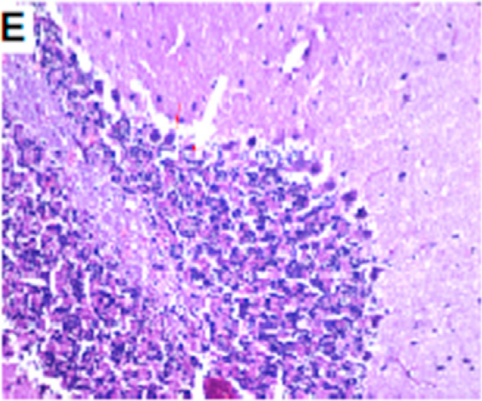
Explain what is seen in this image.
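Cerebellar cortex in section, showing its layered arrangement. The lower left of the field is filled by a broad granular layer of tightly packed, small, round, dark purple nuclei with little cytoplasm between them. Above and to the right lies a pale pink molecular layer with sparse scattered small nuclei and fine fibrillar background. Along the interface between the two layers sit larger cell bodies in a row, the Purkinje cell layer. A few small blood vessels and clefts cross the tissue. The layers are orderly and sharply demarcated.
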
